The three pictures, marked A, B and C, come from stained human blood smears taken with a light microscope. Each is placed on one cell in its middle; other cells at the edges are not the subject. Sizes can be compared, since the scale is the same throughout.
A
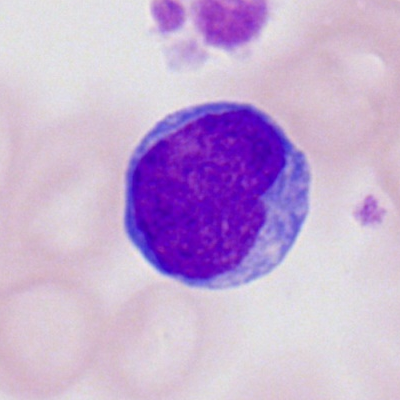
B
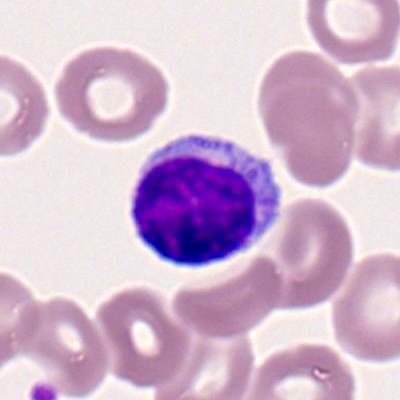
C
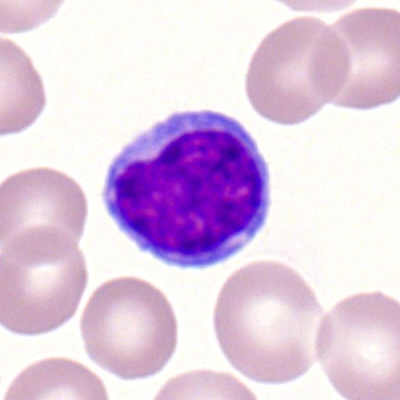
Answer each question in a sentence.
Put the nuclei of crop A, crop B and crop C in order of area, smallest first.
From the smallest up, the order is B, C, A.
